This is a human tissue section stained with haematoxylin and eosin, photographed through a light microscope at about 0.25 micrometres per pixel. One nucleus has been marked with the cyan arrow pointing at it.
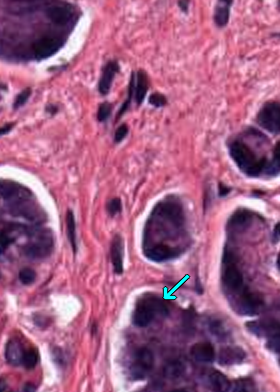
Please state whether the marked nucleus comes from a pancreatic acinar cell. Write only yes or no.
yes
